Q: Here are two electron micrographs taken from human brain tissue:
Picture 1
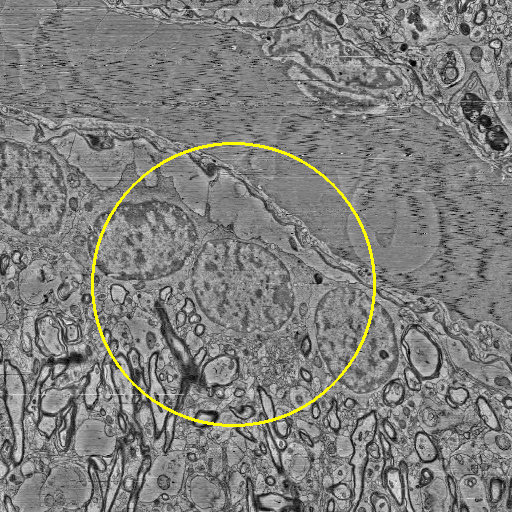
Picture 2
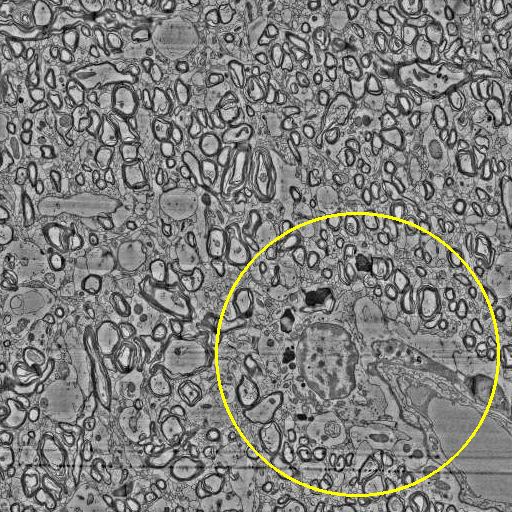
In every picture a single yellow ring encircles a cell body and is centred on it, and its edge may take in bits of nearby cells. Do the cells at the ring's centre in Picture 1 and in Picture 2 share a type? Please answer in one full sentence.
No, the cells at the ring's centre in Picture 1 and Picture 2 are of two types.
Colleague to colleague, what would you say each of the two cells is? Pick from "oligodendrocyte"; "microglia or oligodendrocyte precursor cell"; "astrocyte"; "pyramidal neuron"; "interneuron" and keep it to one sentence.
The cell in the first picture is an oligodendrocyte; the second picture's cell is a microglial cell or oligodendrocyte precursor cell.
